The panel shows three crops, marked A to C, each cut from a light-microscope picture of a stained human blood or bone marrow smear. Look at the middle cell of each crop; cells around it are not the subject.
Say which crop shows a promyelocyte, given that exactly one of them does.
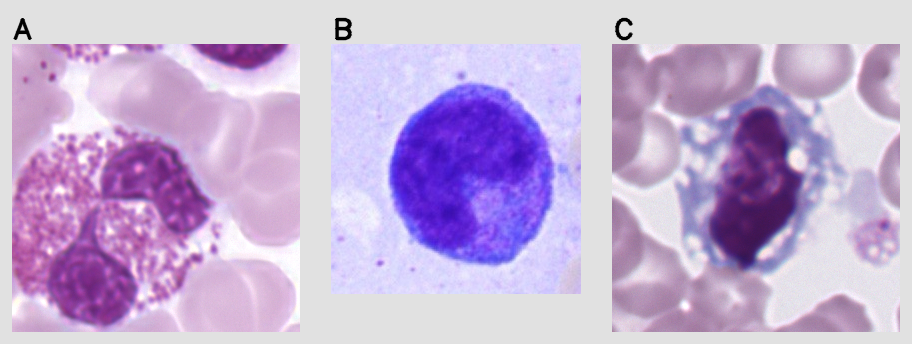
B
